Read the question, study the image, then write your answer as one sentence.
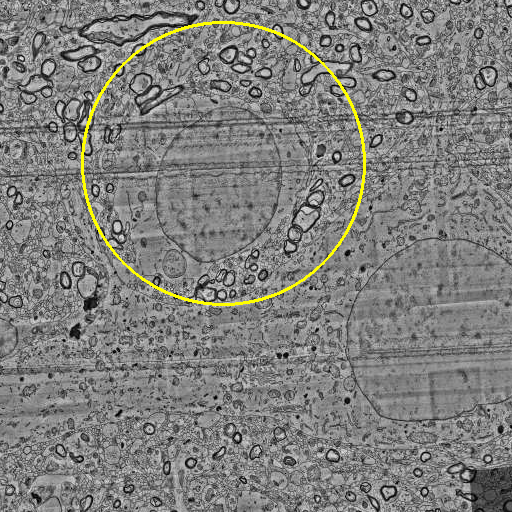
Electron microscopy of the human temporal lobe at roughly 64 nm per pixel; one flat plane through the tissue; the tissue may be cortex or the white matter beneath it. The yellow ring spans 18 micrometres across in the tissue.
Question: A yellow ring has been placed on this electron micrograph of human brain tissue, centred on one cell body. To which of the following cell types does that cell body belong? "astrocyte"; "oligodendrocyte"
That cell body belongs to an astrocyte.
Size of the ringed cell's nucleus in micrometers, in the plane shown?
About 10 by 8 micrometres in this plane.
